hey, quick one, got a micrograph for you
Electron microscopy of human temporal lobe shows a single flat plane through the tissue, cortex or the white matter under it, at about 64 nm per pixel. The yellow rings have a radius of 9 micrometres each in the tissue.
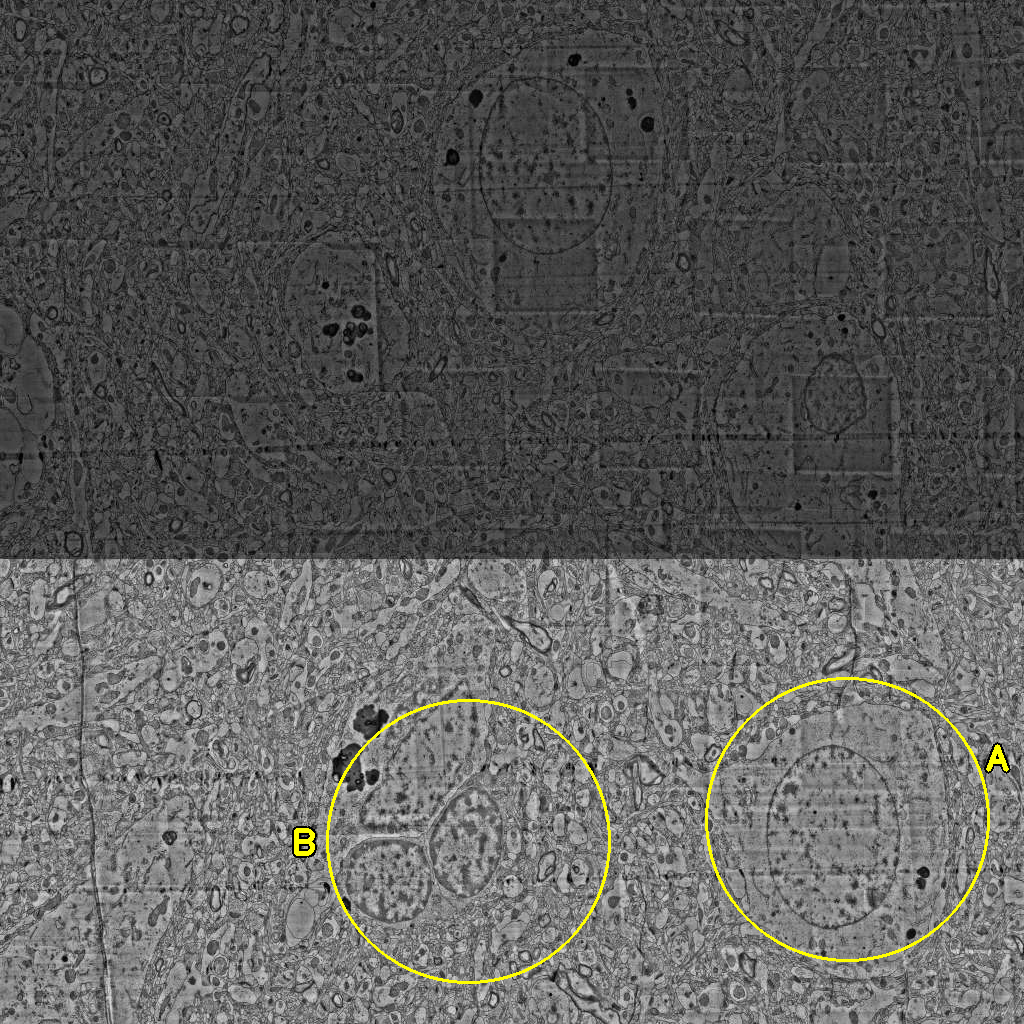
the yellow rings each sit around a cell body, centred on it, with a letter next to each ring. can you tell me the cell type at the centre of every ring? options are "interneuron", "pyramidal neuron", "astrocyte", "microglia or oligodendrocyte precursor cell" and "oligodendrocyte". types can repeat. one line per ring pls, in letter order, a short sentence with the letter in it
Ring A goes around a pyramidal neuron.
Ring B goes around an oligodendrocyte.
